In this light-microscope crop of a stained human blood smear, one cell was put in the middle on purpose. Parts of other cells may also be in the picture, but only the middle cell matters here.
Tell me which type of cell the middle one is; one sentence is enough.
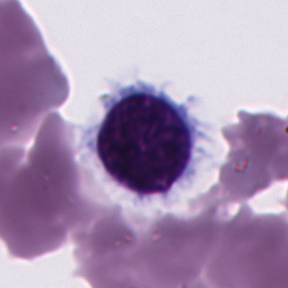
The crop shows a hairy cell in its centre.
